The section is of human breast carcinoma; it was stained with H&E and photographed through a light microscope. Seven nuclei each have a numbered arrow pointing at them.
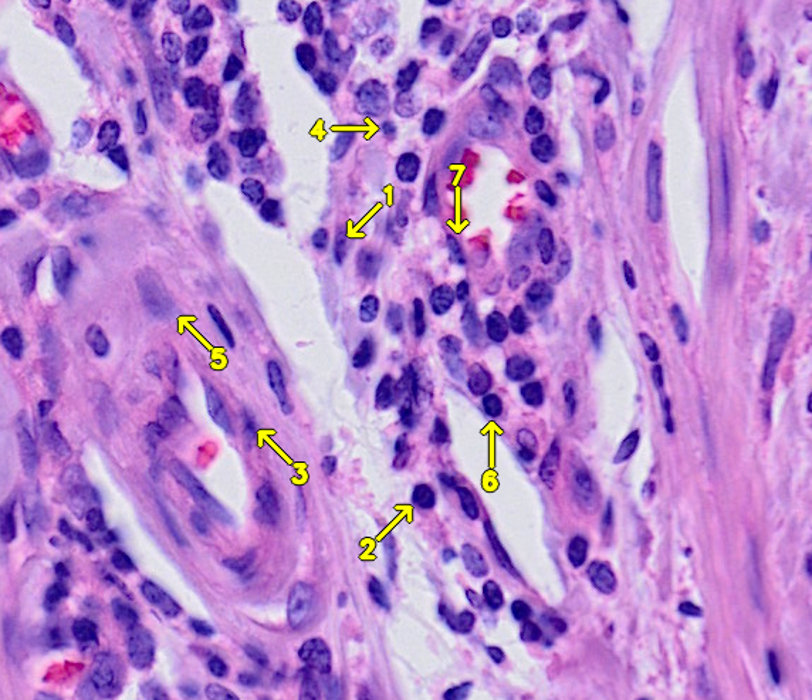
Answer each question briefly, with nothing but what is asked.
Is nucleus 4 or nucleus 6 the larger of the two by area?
6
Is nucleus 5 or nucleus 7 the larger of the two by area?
5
